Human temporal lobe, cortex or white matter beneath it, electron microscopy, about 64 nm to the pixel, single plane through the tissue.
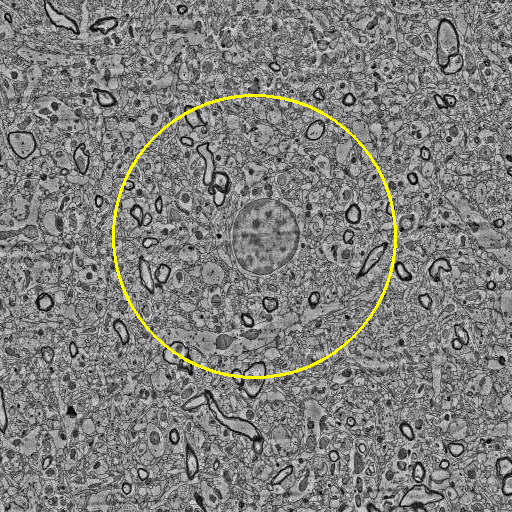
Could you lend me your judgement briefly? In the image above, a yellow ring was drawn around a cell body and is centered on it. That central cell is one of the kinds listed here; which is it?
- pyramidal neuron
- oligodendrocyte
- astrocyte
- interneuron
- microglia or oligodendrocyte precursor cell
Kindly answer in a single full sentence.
Going by the list, a microglial cell or oligodendrocyte precursor cell is the kind at the ring's center in the picture.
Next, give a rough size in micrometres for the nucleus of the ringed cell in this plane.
The nucleus comes to roughly 5 by 4 micrometres in this plane.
